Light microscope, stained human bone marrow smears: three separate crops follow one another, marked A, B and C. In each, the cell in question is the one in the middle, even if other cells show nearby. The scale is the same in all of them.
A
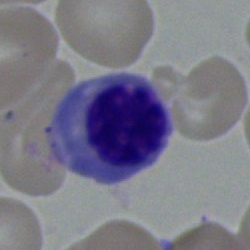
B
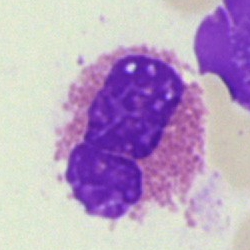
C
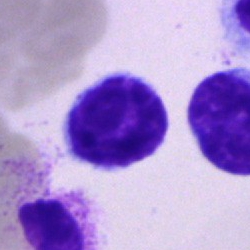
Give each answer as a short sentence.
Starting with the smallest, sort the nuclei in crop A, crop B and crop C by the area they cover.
Going up, they run A, C, B.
